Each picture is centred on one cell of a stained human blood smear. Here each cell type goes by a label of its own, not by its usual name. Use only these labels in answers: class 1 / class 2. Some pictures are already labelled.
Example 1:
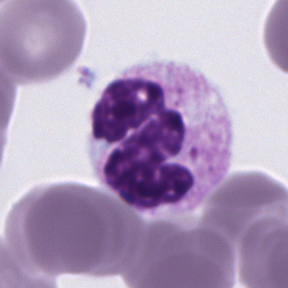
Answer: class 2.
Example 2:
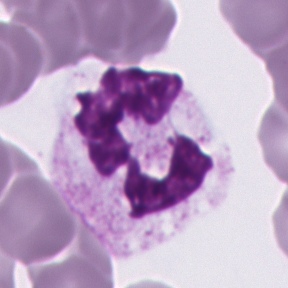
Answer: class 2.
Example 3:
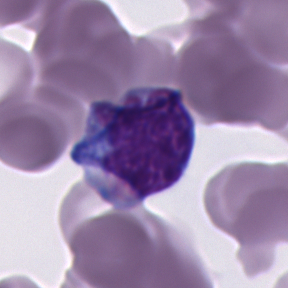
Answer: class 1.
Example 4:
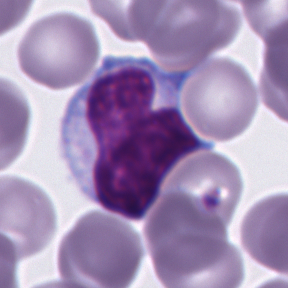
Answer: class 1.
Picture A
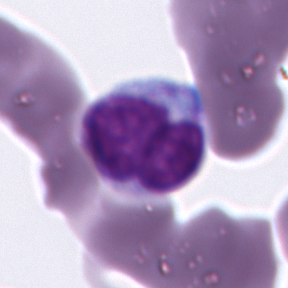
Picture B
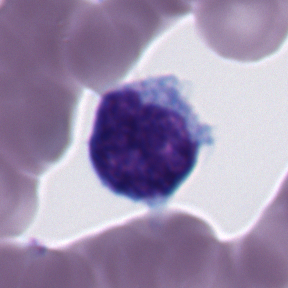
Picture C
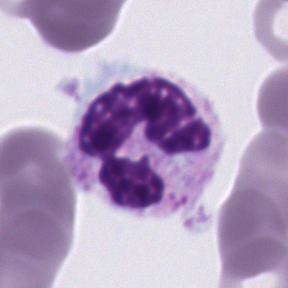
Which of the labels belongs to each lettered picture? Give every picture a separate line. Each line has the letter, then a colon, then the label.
A: class 1.
B: class 1.
C: class 2.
